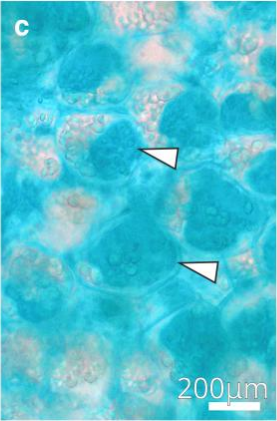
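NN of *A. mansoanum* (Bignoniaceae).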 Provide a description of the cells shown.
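This is plant tissue in cross-section, with large rounded cells outlined by pale turquoise walls. Many cells are filled with dense, darker blue contents, while others hold paler, granular material. The cells lie tightly packed next to each other with little space between them.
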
